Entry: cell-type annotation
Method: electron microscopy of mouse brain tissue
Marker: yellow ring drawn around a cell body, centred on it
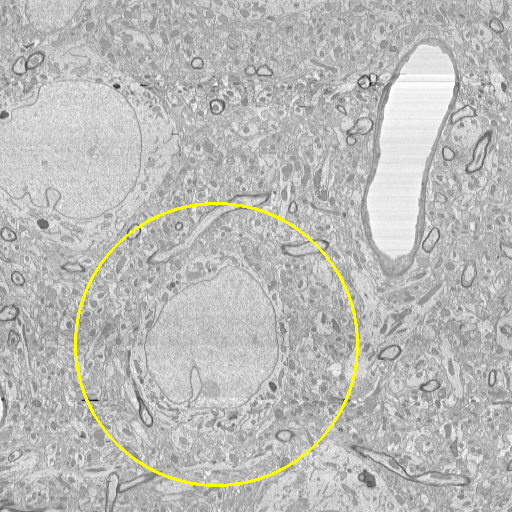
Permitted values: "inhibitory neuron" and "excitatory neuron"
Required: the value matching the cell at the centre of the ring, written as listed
inhibitory neuron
